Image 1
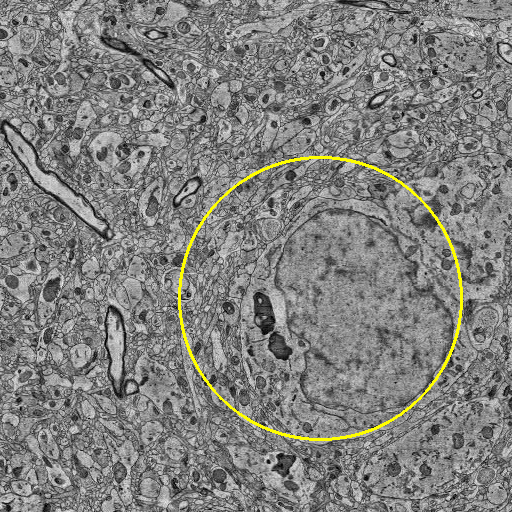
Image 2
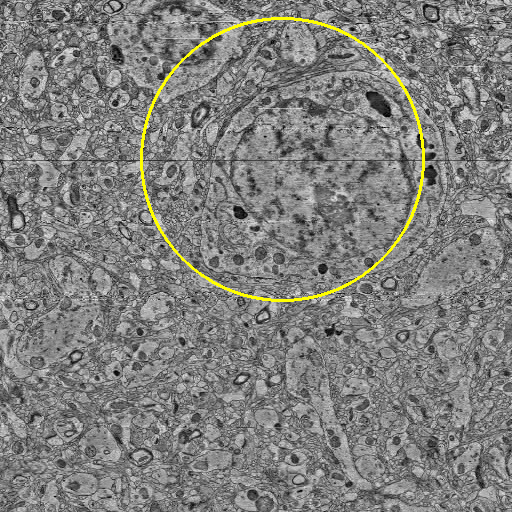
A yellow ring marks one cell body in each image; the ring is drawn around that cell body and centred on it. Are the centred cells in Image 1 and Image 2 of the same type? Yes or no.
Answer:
yes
